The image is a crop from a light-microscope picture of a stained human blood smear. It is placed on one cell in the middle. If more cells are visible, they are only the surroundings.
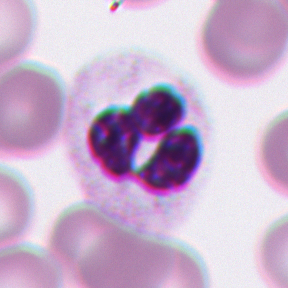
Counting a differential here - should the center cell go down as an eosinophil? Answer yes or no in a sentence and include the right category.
No, in the centre of the crop lies a segmented neutrophil, not an eosinophil.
